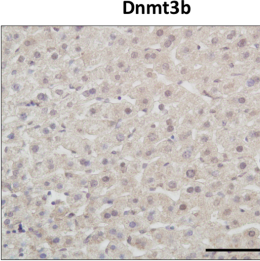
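This is liver seen at high power, and nearly every cell in the field is a hepatocyte. The hepatocytes are large polygonal cells with plenty of pale cytoplasm and a single round nucleus sitting near the centre of each. Many of the nuclei carry a brownish tint, and the cytoplasm has a faint tan tone, while the counterstain gives the nuclei their bluish-purple outline. The cells lie side by side in cords, and between the cords run narrow pale gaps, the sinusoids. A few small empty spaces and elongated cells lie along these gaps.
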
